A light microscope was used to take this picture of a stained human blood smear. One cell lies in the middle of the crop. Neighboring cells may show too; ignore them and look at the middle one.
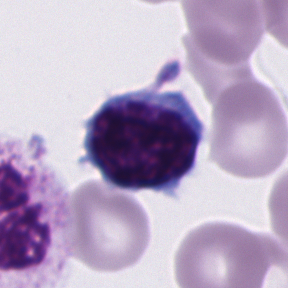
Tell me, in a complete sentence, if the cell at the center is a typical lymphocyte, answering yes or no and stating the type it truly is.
Yes, the cell right in the middle is a typical lymphocyte.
